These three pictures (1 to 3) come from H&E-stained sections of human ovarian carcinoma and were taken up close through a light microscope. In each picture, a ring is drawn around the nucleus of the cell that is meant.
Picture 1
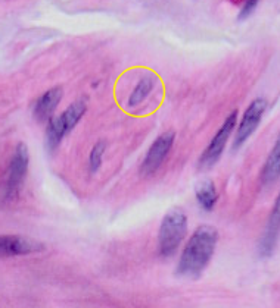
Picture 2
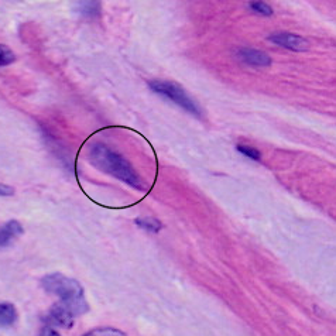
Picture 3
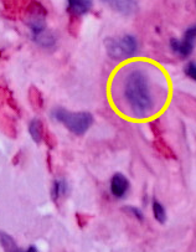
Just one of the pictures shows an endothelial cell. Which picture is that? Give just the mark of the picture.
3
